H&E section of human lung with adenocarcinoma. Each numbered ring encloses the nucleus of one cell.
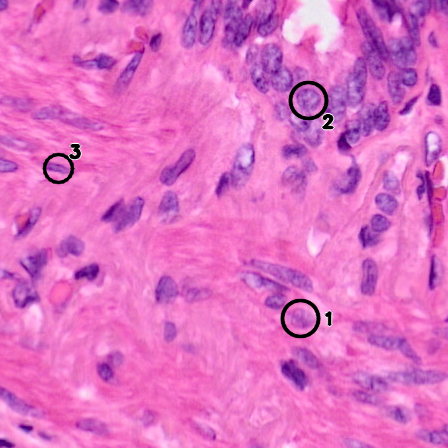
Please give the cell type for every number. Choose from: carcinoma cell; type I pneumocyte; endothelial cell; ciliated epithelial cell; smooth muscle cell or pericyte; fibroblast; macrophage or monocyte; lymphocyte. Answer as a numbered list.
1. smooth muscle cell or pericyte
2. ciliated epithelial cell
3. smooth muscle cell or pericyte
